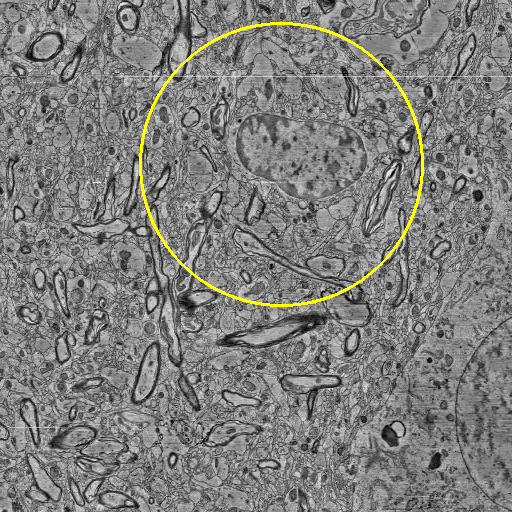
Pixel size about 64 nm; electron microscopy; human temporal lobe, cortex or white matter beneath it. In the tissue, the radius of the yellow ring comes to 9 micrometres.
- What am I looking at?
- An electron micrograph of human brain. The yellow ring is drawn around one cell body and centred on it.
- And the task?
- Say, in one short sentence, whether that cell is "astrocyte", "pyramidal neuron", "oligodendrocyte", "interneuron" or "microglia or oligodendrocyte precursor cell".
The cell in the middle of the ring is a microglial cell or oligodendrocyte precursor cell.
